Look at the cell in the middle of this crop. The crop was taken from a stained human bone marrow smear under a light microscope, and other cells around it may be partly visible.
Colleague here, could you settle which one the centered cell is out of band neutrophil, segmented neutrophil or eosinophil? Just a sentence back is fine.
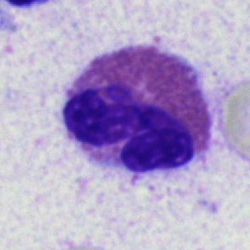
Located at the centre of the crop is an eosinophil.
